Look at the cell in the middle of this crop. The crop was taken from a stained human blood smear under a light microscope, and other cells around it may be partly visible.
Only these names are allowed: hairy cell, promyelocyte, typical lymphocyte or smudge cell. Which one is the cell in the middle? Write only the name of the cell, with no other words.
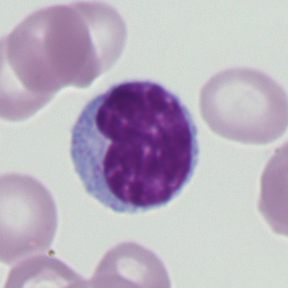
typical lymphocyte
